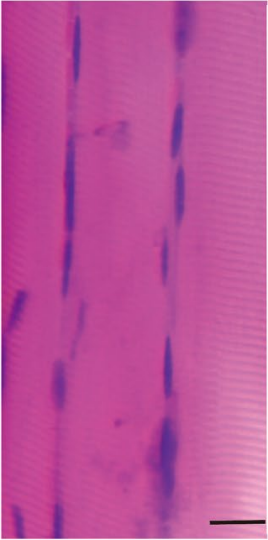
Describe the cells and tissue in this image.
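Longitudinally cut skeletal muscle fibres appear as broad pink bands with distinct, regular cross-striations. Relatively few nuclei are seen. They are slender, elongated and dark purple, and lie in single rows along the boundaries between fibres, parallel to the fibre axis. The space between the fibres is narrow and holds few other cells.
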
